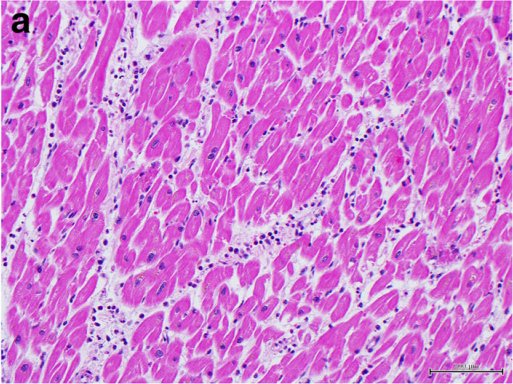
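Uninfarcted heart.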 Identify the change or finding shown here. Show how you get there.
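Pale, widened spaces separate the pink muscle fibres. Small dark round nuclei gather in the spaces between fibres.
Answer: interstitial edema with mononuclear cell infiltrates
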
